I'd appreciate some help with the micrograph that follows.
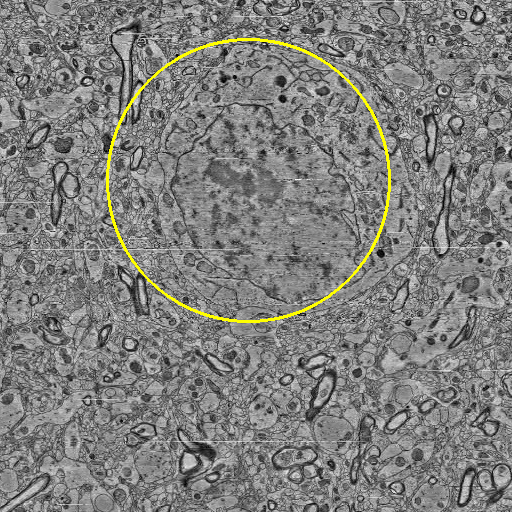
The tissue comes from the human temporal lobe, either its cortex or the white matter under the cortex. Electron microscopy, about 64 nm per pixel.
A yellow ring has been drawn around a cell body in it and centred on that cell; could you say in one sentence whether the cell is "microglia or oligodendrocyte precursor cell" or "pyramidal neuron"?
It is a pyramidal neuron at the centre of the ring.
